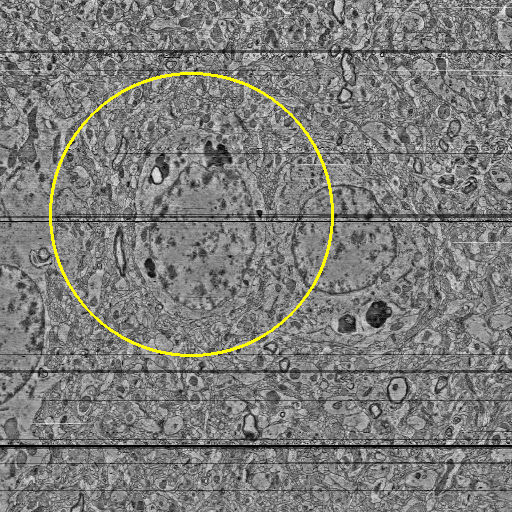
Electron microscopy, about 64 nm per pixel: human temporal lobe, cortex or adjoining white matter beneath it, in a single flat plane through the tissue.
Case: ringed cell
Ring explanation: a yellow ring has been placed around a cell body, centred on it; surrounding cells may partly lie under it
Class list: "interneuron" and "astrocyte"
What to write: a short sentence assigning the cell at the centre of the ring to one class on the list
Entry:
The cell at the ring's centre is an interneuron.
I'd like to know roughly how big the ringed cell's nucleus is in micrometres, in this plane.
About 10 by 7 micrometres in this plane.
